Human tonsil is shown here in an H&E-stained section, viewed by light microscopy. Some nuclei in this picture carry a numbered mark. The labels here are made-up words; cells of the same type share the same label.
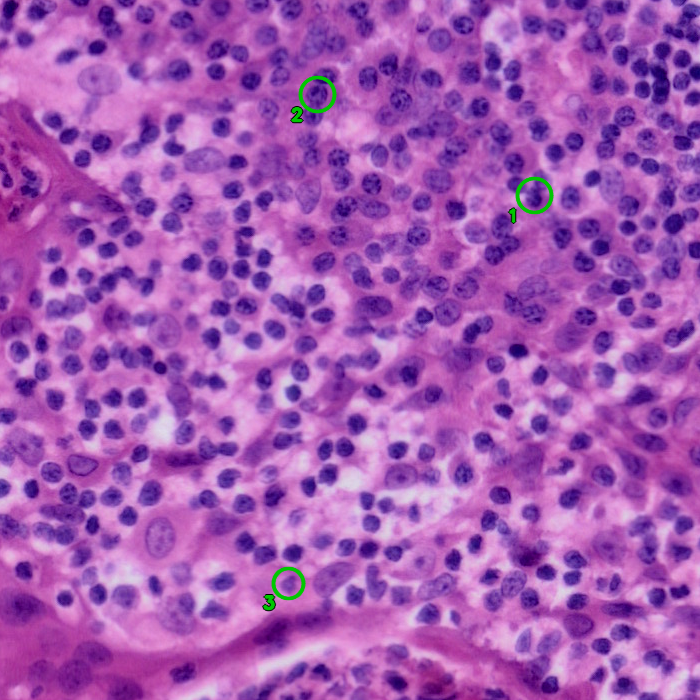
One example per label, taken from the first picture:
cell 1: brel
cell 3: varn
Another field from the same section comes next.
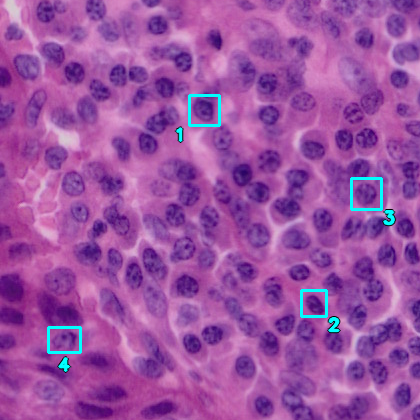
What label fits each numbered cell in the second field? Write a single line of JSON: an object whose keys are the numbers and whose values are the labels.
{"1": "brel", "2": "brel", "3": "brel", "4": "varn"}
